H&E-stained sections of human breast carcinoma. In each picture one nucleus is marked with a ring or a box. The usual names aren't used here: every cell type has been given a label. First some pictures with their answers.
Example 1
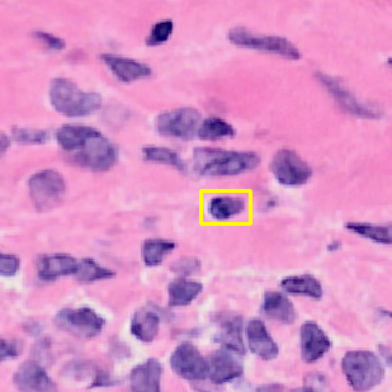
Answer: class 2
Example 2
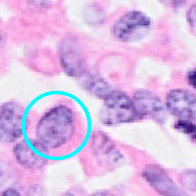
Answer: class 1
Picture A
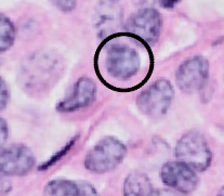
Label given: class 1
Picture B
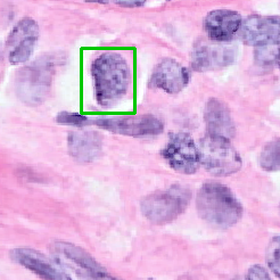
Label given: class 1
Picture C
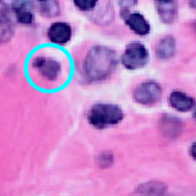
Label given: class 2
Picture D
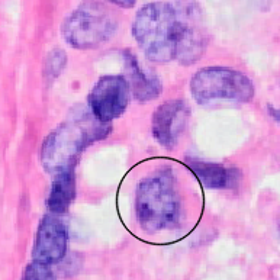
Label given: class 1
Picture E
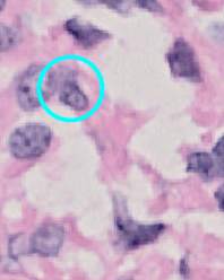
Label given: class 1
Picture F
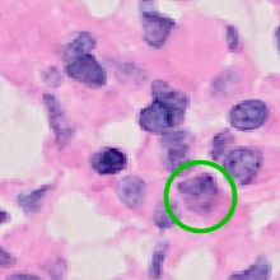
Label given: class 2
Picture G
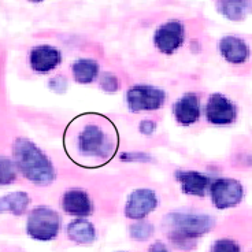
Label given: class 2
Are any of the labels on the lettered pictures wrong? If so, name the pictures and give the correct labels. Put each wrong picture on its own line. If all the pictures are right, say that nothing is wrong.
F should be class 1, not class 2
